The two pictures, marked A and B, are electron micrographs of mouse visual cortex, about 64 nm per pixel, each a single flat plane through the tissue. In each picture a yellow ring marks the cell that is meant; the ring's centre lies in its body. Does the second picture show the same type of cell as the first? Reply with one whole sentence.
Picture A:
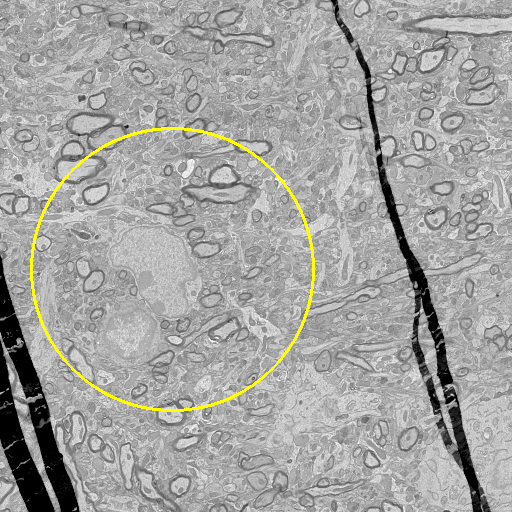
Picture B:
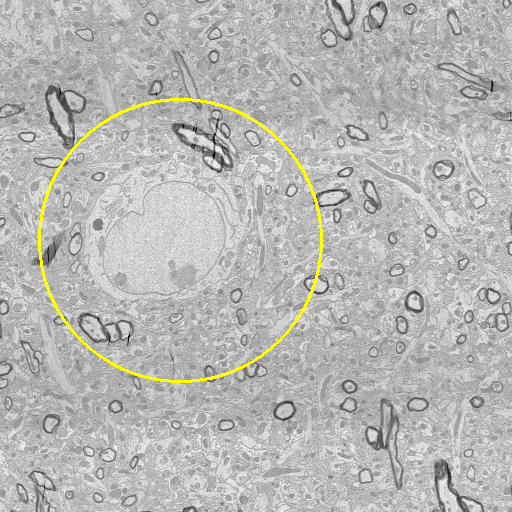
No, they differ: the cell is an oligodendrocyte precursor cell in picture A and an excitatory neuron in picture B.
